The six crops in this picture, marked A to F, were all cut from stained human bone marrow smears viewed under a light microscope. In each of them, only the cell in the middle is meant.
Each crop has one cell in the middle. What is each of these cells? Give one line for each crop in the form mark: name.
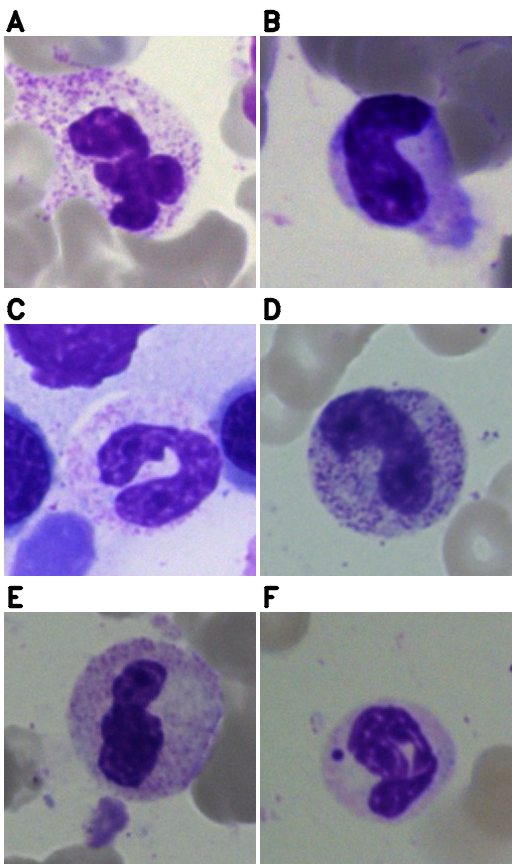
A: segmented neutrophil
B: band neutrophil
C: segmented neutrophil
D: band neutrophil
E: segmented neutrophil
F: segmented neutrophil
